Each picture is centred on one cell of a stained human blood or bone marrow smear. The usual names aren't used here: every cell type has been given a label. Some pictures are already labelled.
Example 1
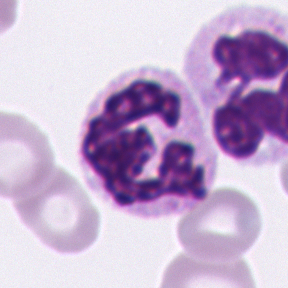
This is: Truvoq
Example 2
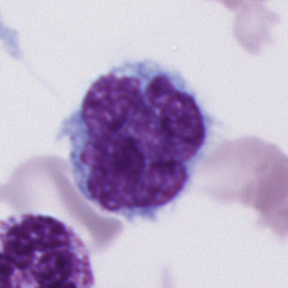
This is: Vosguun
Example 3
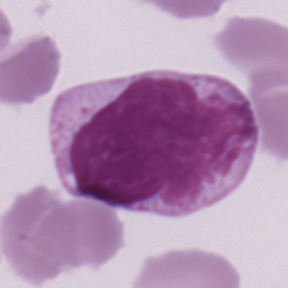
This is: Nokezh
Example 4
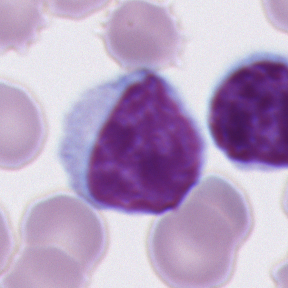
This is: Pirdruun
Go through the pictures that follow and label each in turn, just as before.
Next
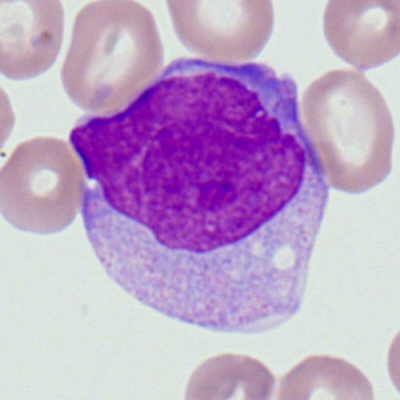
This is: Vosguun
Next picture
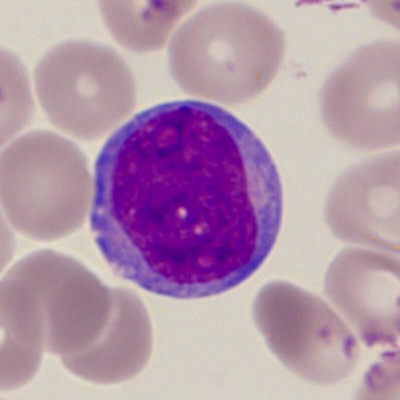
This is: Nokezh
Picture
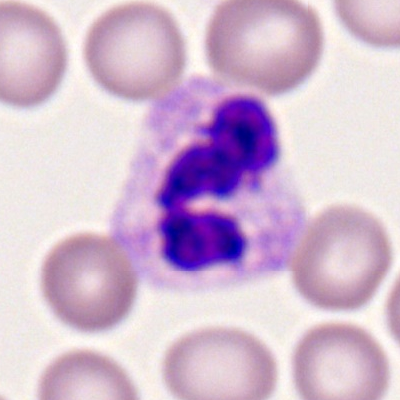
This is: Truvoq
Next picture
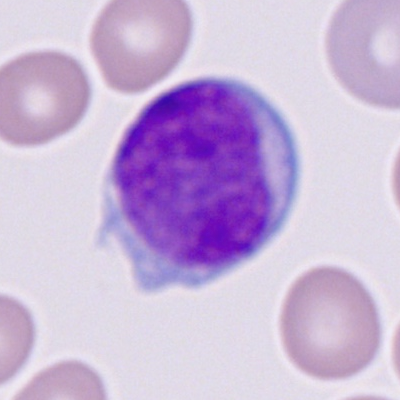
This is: Nokezh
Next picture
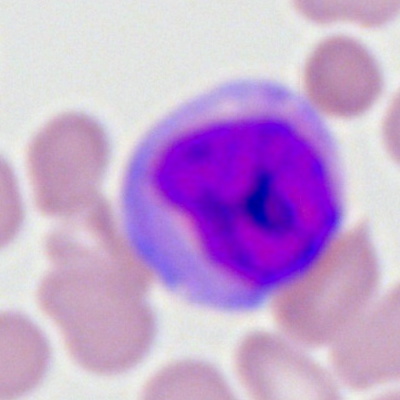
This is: Vosguun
